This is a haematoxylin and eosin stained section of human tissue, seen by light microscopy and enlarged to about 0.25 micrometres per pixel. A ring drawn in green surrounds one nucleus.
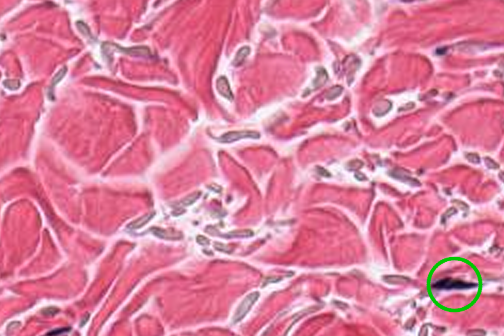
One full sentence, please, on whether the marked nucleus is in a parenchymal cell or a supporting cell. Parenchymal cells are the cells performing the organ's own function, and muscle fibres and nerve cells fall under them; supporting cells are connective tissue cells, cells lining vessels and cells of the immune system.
The nucleus that is marked belongs to a supporting cell.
